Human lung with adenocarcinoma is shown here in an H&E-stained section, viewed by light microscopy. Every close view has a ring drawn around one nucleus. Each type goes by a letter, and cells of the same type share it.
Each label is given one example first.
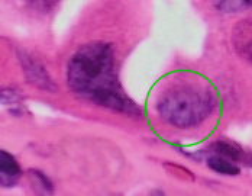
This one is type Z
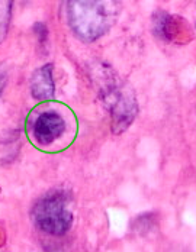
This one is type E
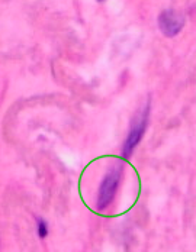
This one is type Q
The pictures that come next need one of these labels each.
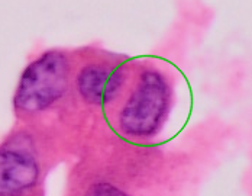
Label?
type Z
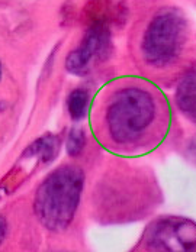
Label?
type Z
